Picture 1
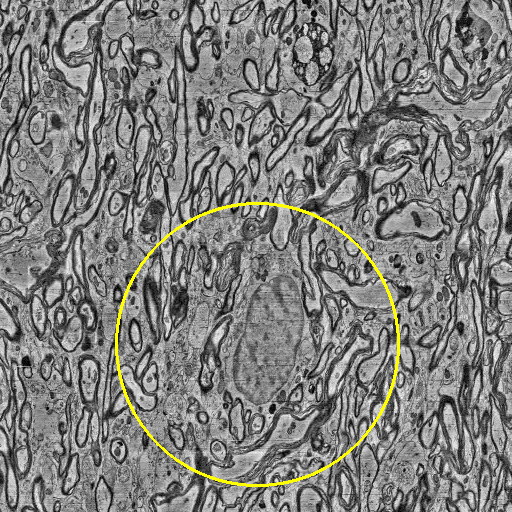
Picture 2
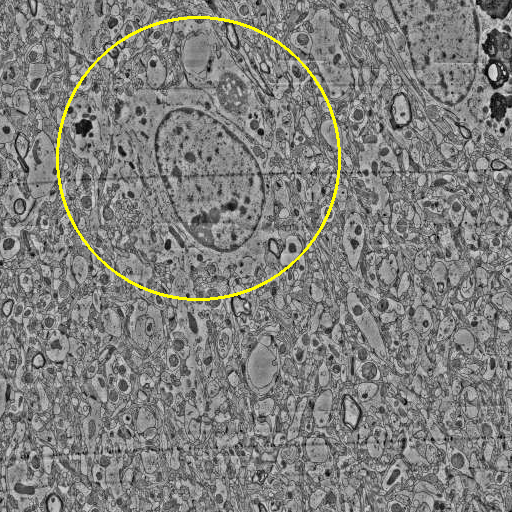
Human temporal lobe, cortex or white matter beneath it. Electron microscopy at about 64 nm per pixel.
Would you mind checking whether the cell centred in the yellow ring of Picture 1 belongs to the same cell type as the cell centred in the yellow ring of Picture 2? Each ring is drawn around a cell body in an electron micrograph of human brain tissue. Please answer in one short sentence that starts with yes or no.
No, the two cells are of two types.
